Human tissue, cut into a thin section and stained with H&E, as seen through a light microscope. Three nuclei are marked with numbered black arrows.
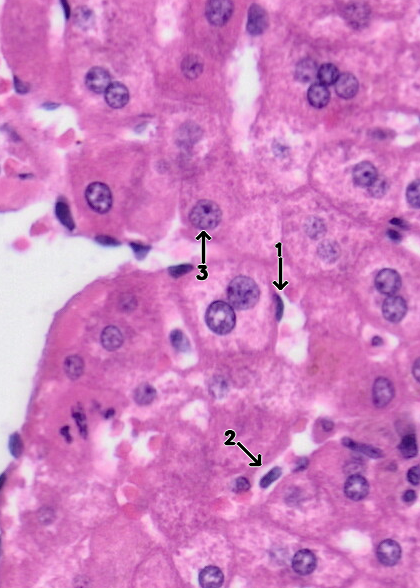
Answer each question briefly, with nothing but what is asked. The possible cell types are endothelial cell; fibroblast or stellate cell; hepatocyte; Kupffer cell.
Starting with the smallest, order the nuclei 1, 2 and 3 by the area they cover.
1, 2, 3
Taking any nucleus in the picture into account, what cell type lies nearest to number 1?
hepatocyte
